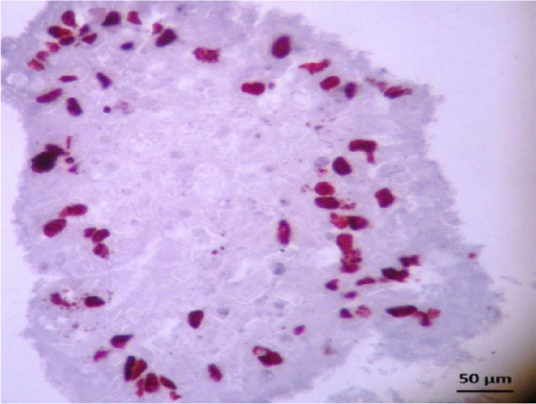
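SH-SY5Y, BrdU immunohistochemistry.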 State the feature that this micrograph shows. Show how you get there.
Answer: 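A single rounded compact aggregate of cells is cut in section. No tissue architecture such as glands or layers surrounds it. That points to this answer: spheroids.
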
